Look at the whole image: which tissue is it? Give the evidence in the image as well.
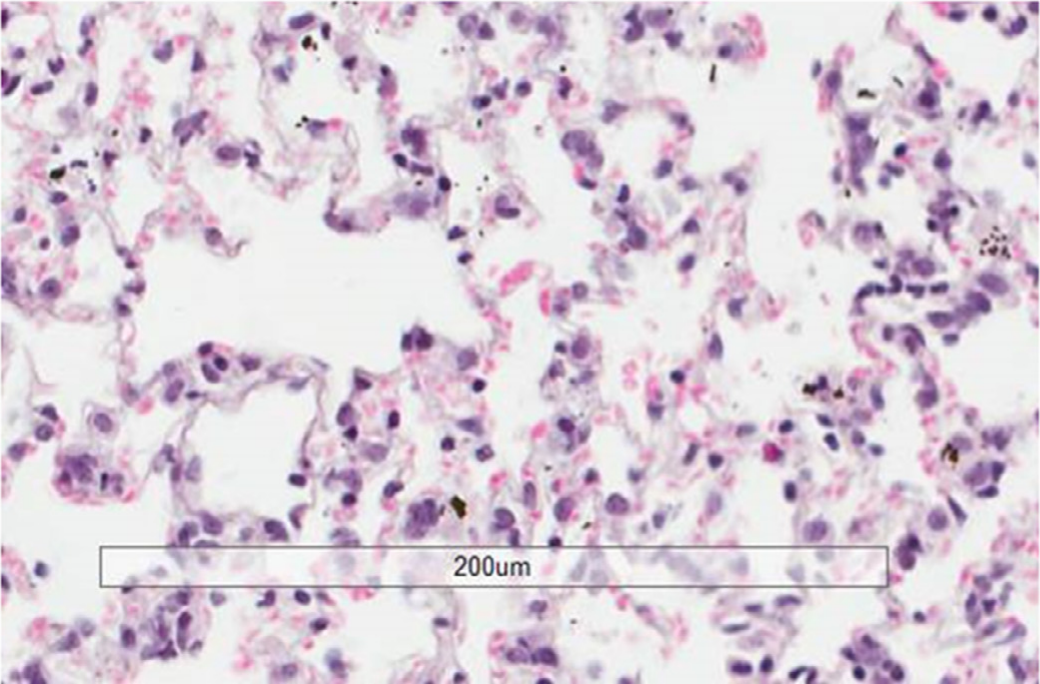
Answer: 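Thin-walled septa enclose many open, empty air spaces. The septa hold many small purple nuclei and pink-red blood cells. That points to this answer: lung.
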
